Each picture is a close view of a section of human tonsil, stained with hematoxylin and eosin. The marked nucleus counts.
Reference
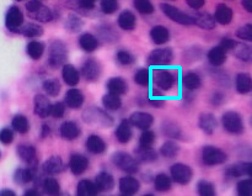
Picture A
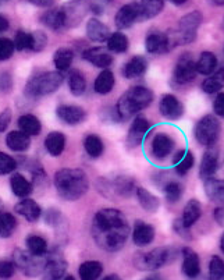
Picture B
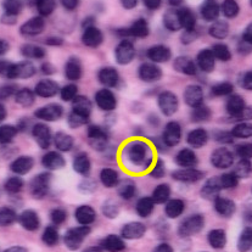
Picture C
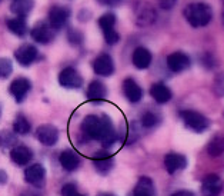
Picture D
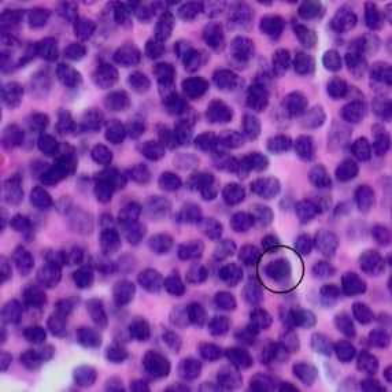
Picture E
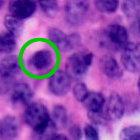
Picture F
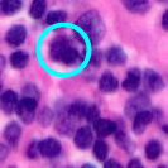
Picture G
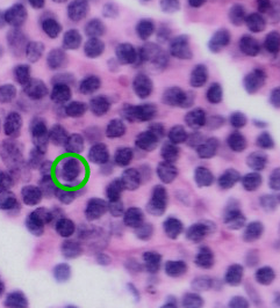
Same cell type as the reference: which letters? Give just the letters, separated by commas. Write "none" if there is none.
A, B, D, G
